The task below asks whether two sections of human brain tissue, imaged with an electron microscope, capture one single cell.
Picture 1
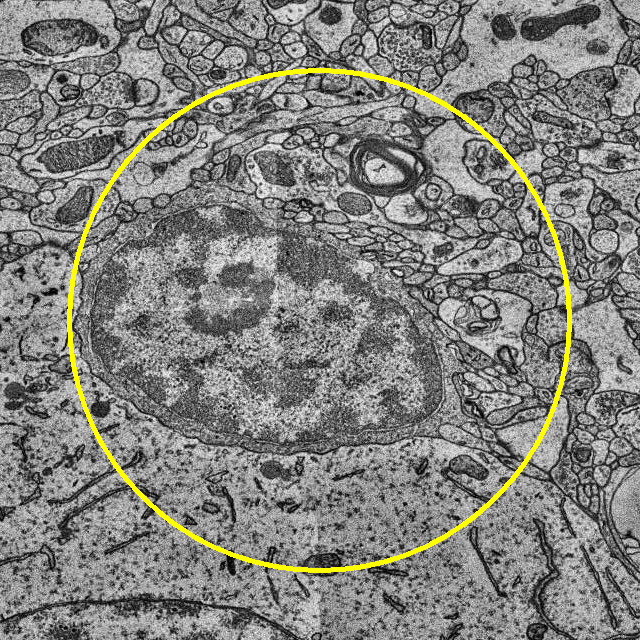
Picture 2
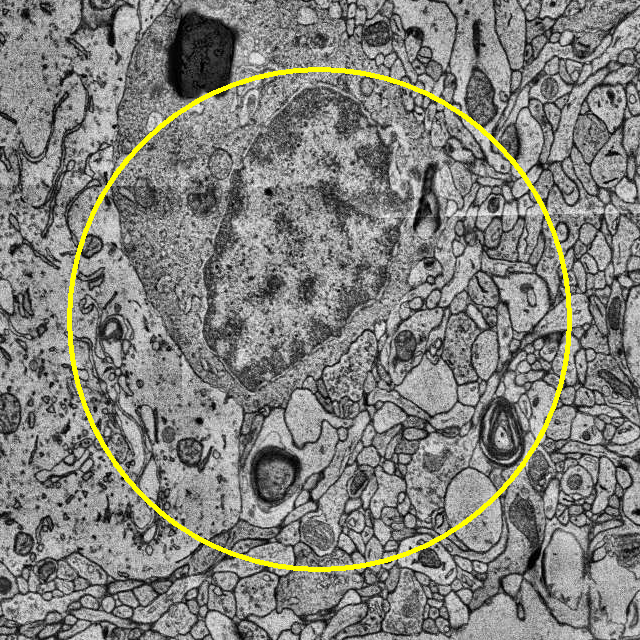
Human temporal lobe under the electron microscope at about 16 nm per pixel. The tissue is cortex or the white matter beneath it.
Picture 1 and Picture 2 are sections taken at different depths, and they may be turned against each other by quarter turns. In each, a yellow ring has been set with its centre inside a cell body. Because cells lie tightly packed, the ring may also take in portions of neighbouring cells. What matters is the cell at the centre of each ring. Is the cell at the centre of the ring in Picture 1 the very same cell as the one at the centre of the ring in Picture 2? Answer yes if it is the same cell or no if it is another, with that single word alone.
yes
